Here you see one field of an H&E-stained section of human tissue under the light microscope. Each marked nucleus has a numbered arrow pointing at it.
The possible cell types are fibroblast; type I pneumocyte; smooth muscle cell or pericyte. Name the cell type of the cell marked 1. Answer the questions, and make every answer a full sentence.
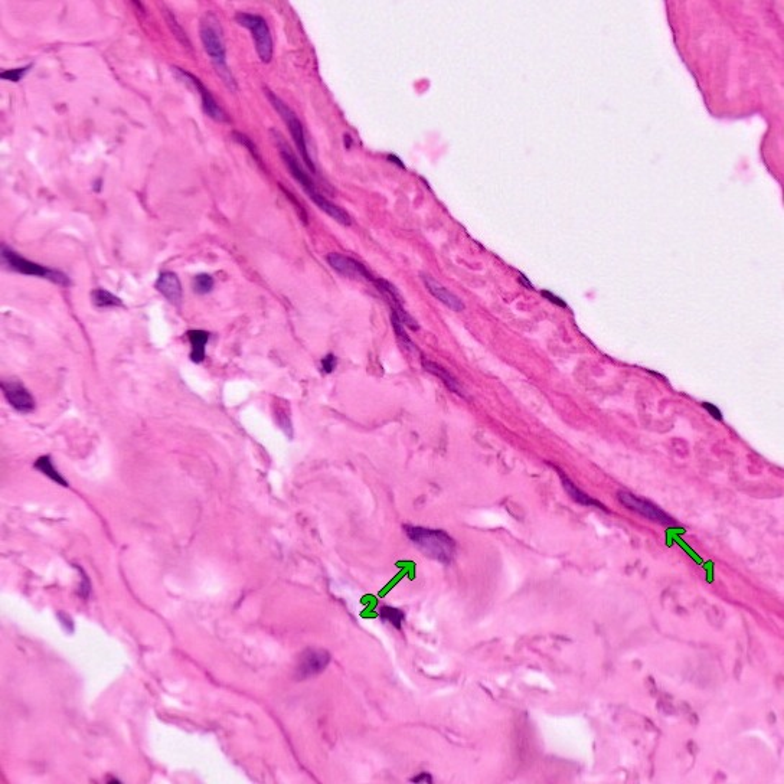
The cell identified by the number 1 is a smooth muscle cell or pericyte.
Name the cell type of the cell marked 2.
The expected answer is that cell 2 is a fibroblast.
